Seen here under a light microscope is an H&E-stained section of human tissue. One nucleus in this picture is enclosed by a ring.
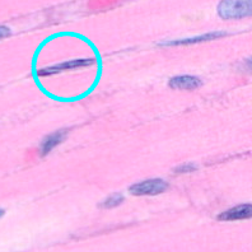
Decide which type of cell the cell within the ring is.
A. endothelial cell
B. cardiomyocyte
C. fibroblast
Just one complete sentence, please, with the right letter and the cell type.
The correct choice is option A; the cell within the ring is an endothelial cell.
